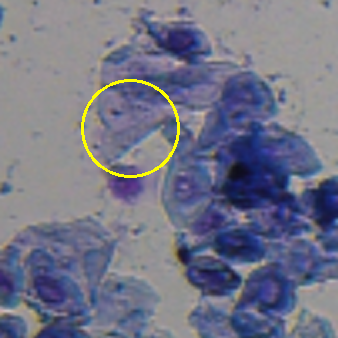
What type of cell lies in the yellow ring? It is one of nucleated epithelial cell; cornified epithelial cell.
The ringed cell is a cornified epithelial cell.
